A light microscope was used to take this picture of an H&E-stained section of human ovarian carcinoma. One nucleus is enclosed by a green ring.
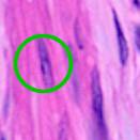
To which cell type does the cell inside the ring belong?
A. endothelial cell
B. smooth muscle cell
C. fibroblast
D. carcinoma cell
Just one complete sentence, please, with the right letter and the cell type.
Exactly as option B gives it, the cell inside the ring is a smooth muscle cell.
